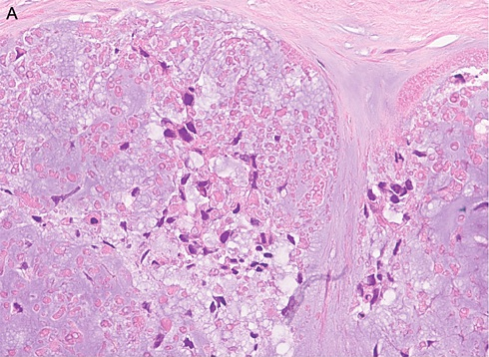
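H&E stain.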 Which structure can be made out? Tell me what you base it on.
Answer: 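A pink fibrous band separates the lobules.
Hence: basophilic matrix.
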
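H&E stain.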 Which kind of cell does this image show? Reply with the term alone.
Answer: Scattered hyperchromatic cells.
